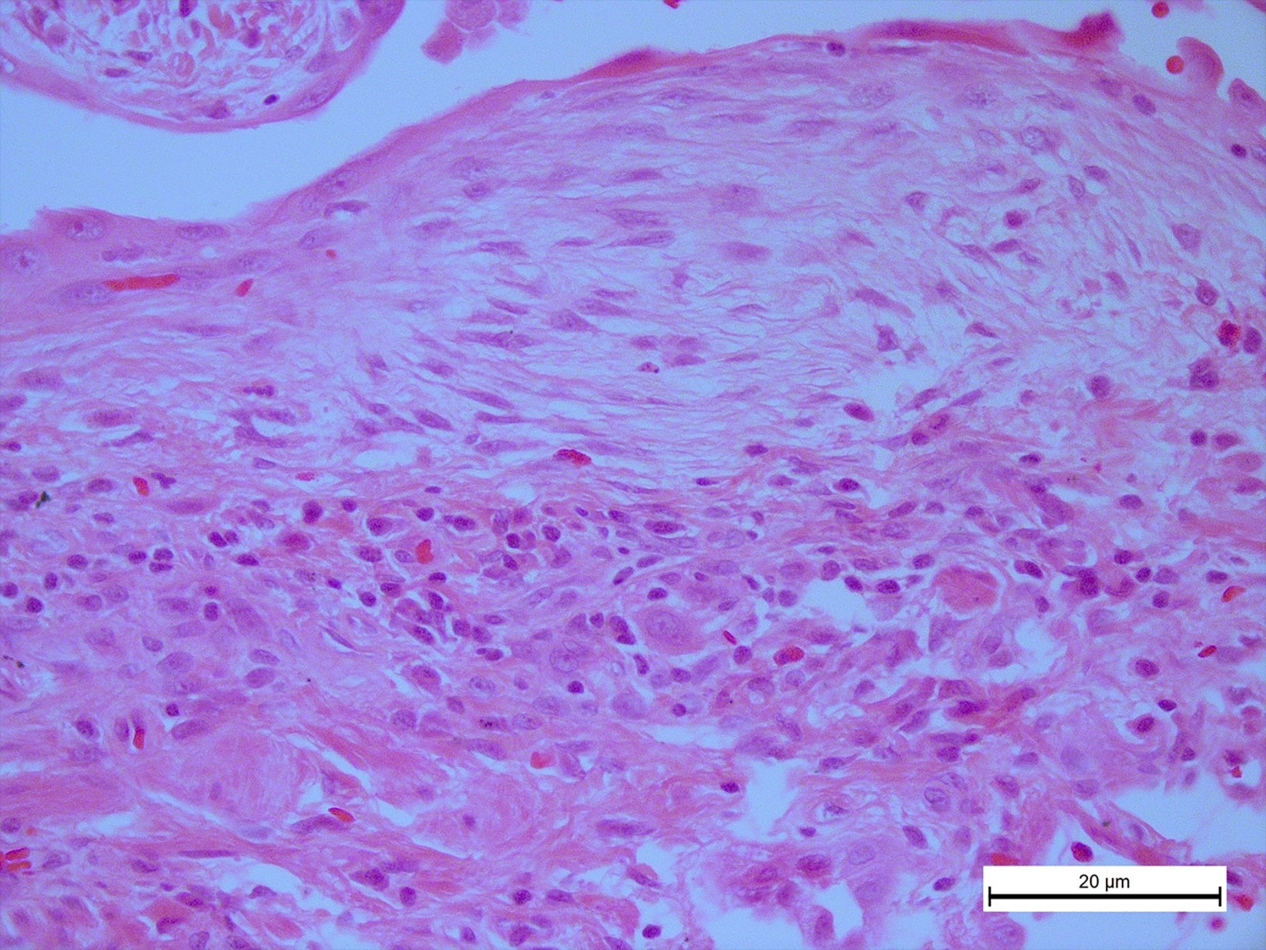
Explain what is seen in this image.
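Lung tissue with a fibroblastic focus in the upper half and many inflammatory cells, mostly lymphocytes, around and beneath it. The focus is made of elongated spindle-shaped cells with oval pale nuclei, aligned roughly in parallel within a loose, pale bluish-pink matrix, and is covered on its air-space side by a thin flattened cell layer. Below it, the pink fibrous tissue is crowded with small cells with round, dark purple nuclei and little cytoplasm, mixed with larger cells with pale oval nuclei. Scattered red blood cells lie in the tissue, and clear air spaces border the section at the top and in the lower right.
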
